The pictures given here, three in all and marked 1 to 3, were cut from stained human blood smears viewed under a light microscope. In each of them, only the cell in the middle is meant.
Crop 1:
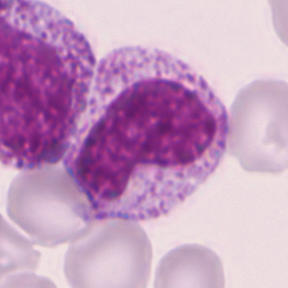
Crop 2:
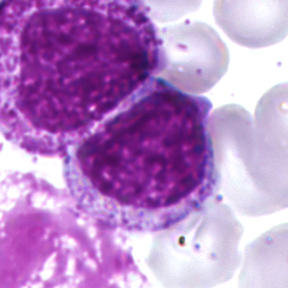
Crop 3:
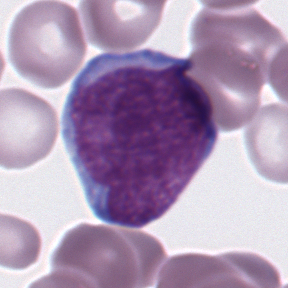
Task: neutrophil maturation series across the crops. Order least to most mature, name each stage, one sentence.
When ranked by maturity from lowest to highest, the order is crop 3 (a myeloblast), crop 2 (a myelocyte) and crop 1 (a band neutrophil).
